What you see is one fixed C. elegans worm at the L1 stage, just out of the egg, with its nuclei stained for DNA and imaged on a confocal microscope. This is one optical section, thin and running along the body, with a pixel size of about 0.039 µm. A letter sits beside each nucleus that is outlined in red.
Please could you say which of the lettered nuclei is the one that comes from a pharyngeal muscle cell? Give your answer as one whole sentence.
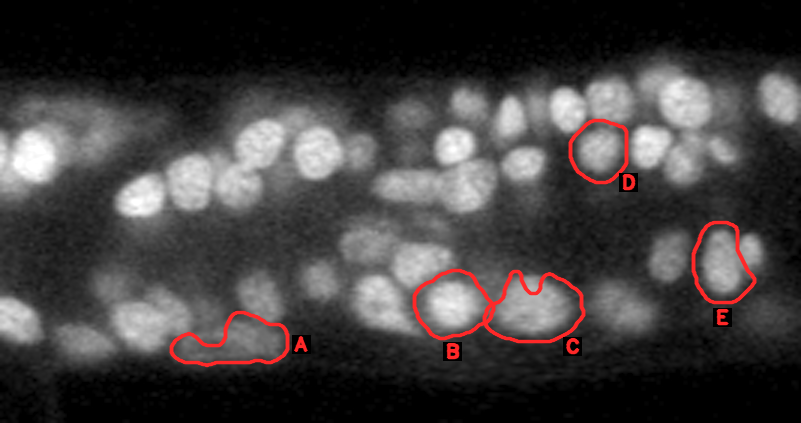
C is the one that belongs to a pharyngeal muscle cell.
